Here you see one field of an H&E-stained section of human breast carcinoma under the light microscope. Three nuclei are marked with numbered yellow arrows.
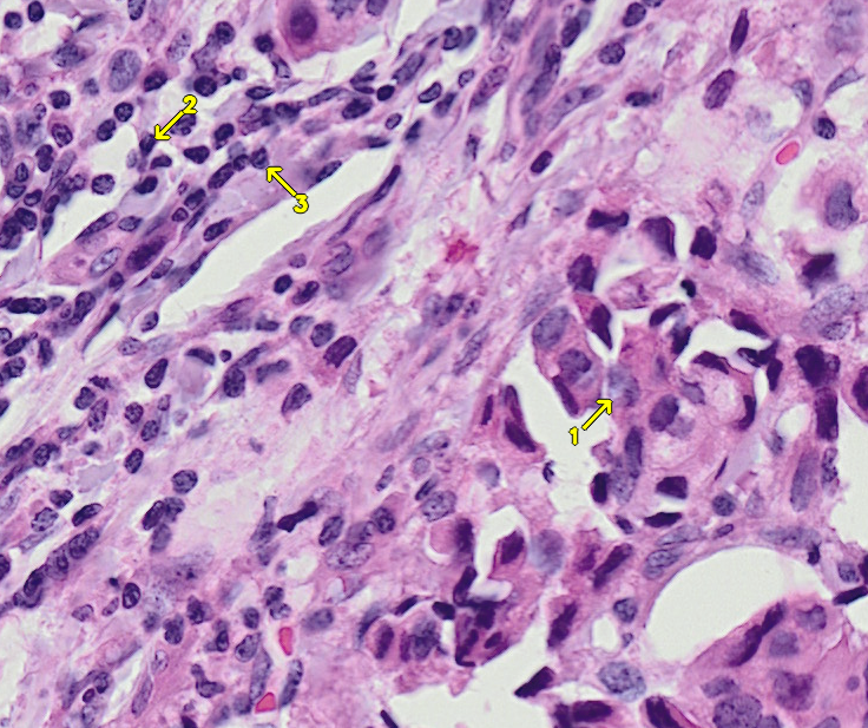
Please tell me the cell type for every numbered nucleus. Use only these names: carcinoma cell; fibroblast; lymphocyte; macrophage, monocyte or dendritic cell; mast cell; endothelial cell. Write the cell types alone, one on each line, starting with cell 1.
carcinoma cell
lymphocyte
lymphocyte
